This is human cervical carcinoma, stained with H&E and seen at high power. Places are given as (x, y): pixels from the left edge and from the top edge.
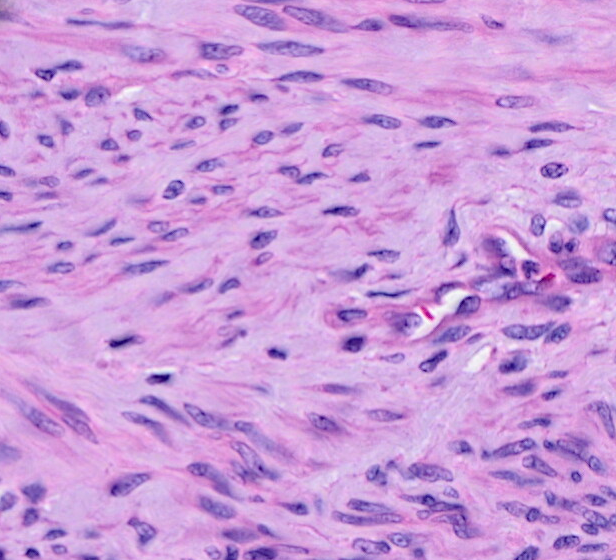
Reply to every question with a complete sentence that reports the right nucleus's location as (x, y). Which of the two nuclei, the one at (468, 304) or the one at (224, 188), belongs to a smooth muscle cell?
Of the two nuclei, the nucleus of a smooth muscle cell is at (224, 188).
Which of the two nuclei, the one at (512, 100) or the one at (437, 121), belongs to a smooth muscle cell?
The nucleus situated at (512, 100) is the one belonging to a smooth muscle cell.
